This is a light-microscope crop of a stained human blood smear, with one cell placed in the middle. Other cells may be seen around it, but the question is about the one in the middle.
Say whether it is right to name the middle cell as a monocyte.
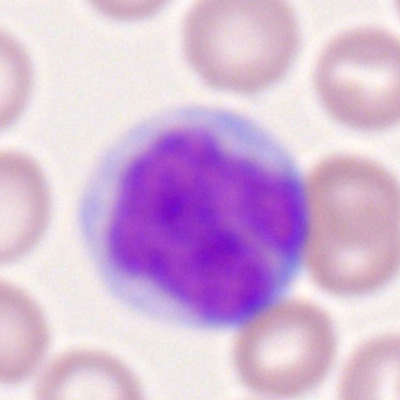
yes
